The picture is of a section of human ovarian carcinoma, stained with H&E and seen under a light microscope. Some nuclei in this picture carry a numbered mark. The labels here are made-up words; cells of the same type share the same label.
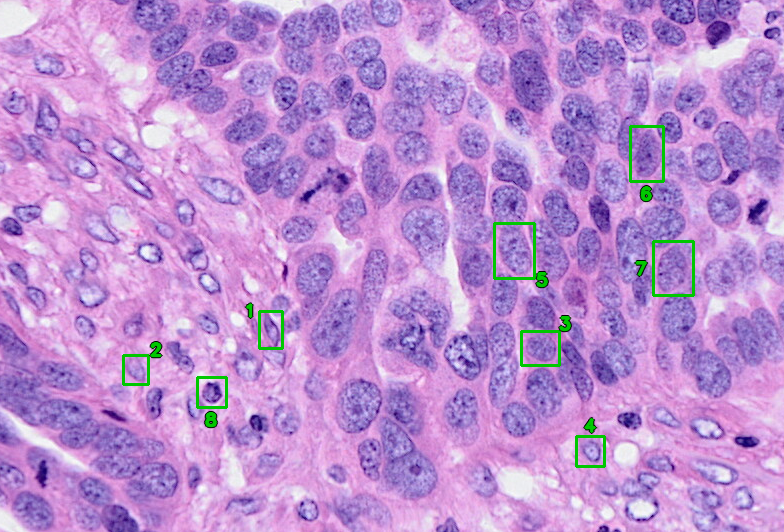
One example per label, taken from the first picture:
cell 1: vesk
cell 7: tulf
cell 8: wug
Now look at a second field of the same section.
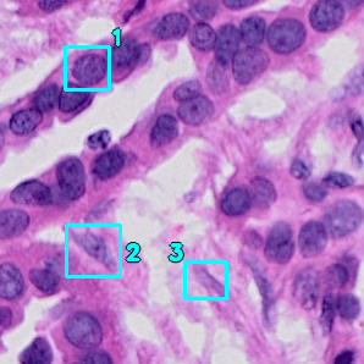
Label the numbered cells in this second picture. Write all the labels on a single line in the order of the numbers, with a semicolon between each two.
tulf; vesk; vesk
